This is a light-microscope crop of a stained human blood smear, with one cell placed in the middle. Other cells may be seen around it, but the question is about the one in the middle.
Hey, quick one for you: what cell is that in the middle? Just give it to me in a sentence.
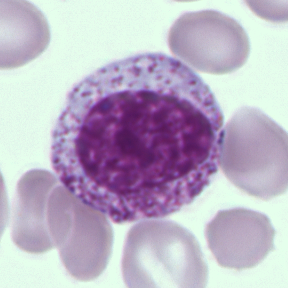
Regarding the central cell, it is a metamyelocyte.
